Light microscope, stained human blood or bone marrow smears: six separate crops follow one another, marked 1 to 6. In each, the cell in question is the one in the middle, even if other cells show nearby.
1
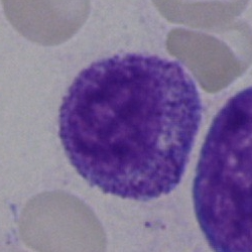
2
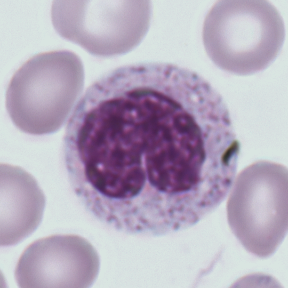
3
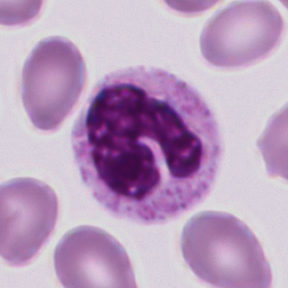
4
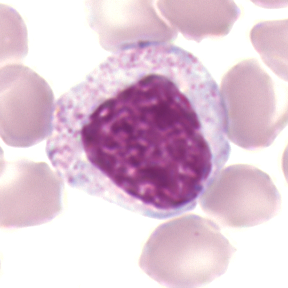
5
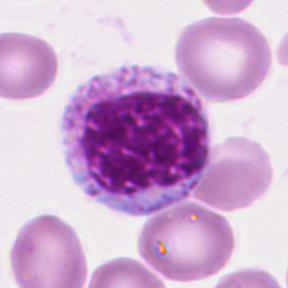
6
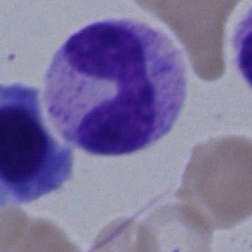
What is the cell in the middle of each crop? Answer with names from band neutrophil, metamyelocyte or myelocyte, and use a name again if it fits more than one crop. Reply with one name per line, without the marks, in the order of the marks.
myelocyte
band neutrophil
band neutrophil
metamyelocyte
metamyelocyte
band neutrophil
